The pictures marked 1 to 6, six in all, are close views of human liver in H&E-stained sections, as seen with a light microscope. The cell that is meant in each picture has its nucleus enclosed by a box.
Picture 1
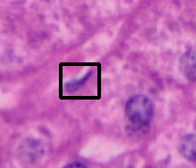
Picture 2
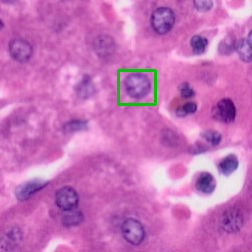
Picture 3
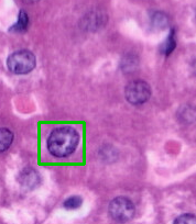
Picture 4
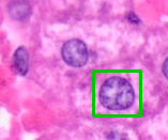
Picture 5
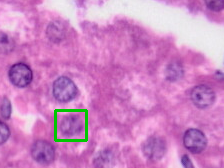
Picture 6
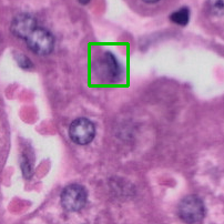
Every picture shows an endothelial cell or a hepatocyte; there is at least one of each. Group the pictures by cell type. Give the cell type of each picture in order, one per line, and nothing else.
endothelial cell
hepatocyte
hepatocyte
hepatocyte
hepatocyte
endothelial cell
